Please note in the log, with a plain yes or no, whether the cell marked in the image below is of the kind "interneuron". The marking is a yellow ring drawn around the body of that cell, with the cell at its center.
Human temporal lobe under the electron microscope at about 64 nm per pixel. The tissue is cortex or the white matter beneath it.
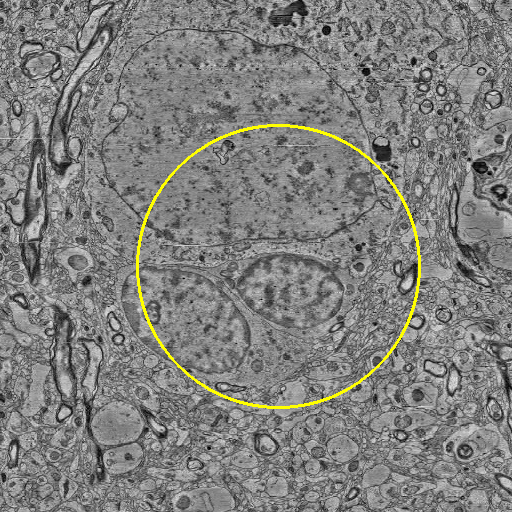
no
